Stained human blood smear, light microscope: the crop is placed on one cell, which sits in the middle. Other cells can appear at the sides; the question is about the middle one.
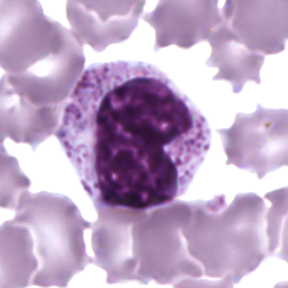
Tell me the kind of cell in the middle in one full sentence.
By type, the central cell of the crop is a metamyelocyte.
